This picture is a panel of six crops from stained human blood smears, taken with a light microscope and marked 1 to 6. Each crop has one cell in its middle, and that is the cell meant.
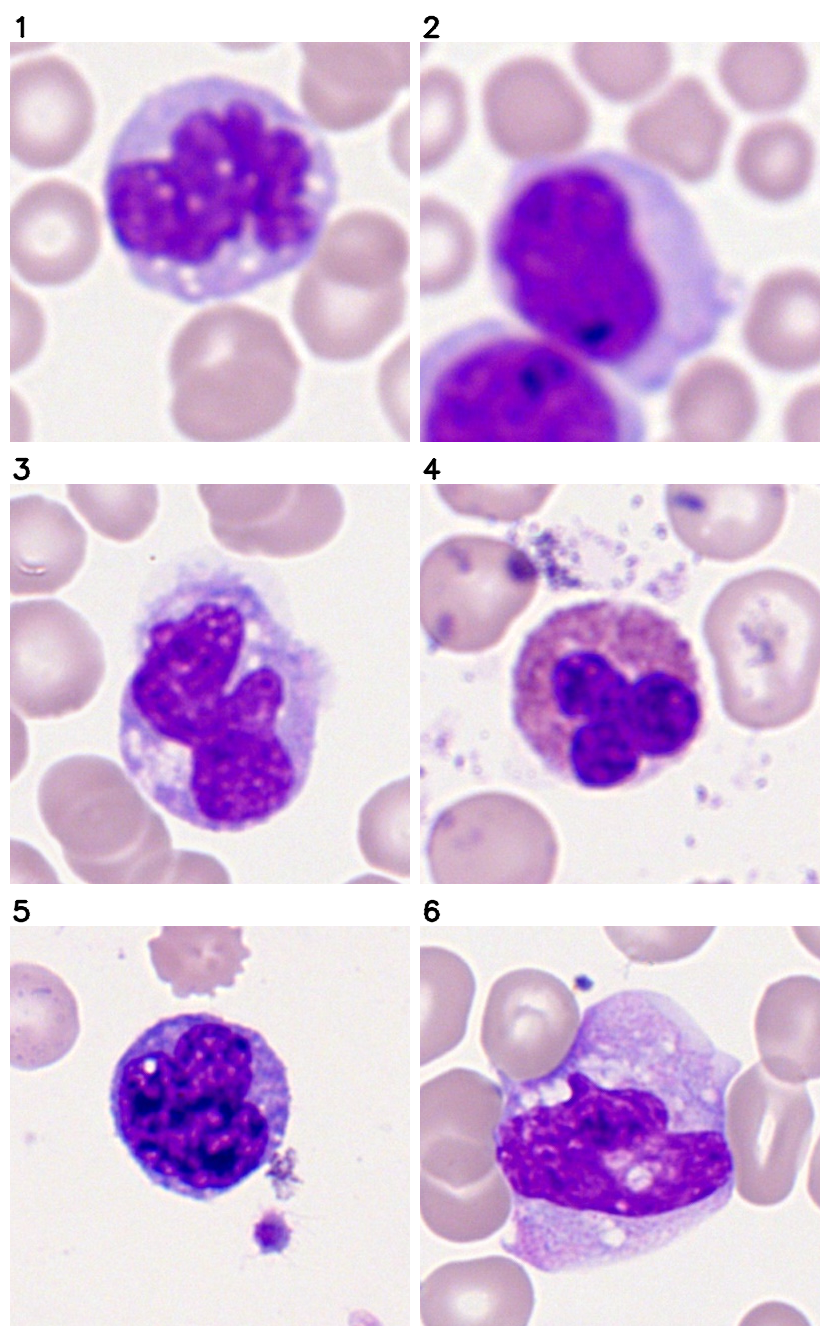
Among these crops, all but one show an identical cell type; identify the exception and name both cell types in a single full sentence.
Crop 4 breaks the pattern as an eosinophil; the other crops all contain monocytes.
